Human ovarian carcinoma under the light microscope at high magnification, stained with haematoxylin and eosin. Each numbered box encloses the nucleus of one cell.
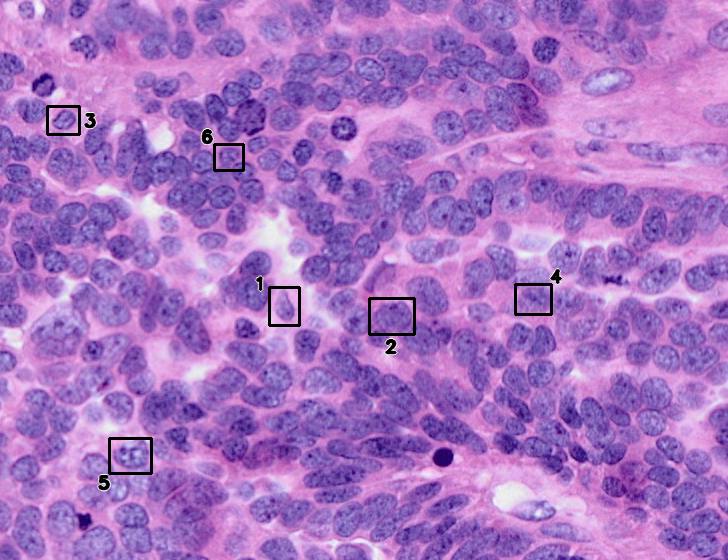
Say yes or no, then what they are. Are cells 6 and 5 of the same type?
No, cell 6 is a carcinoma cell and cell 5 is a macrophage or monocyte.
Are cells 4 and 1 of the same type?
No, cell 4 is a carcinoma cell and cell 1 is a macrophage or monocyte.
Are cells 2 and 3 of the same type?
No, cell 2 is a carcinoma cell and cell 3 is a macrophage or monocyte.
